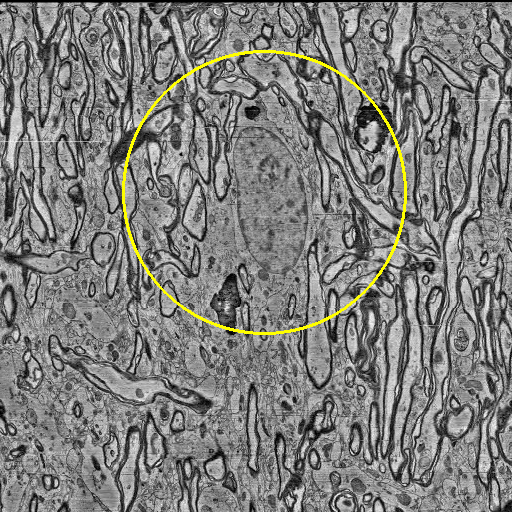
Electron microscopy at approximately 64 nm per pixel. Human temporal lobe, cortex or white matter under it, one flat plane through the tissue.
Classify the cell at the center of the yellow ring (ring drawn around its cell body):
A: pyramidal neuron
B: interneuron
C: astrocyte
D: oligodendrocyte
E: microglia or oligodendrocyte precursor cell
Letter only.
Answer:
E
